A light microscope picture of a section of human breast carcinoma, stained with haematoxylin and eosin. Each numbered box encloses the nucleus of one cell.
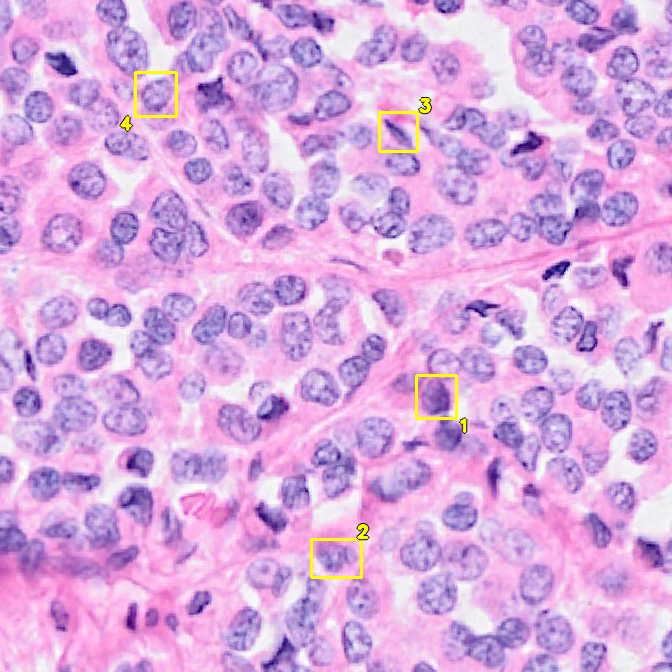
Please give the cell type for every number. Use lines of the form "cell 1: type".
cell 1: carcinoma cell
cell 2: carcinoma cell
cell 3: endothelial cell
cell 4: carcinoma cell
